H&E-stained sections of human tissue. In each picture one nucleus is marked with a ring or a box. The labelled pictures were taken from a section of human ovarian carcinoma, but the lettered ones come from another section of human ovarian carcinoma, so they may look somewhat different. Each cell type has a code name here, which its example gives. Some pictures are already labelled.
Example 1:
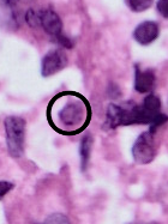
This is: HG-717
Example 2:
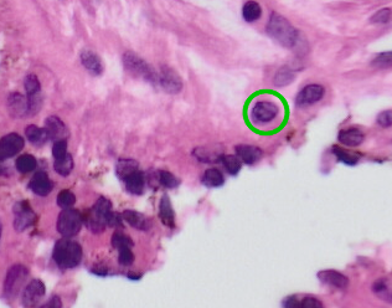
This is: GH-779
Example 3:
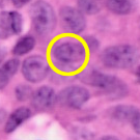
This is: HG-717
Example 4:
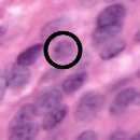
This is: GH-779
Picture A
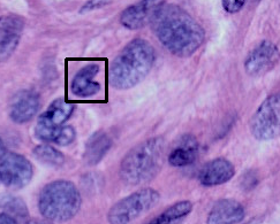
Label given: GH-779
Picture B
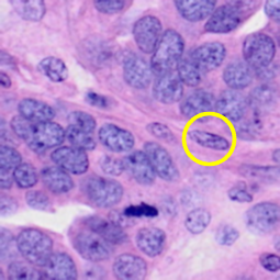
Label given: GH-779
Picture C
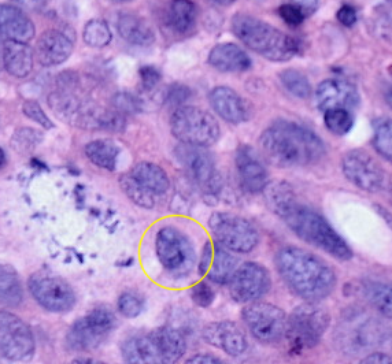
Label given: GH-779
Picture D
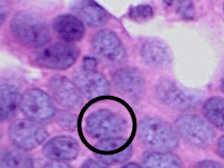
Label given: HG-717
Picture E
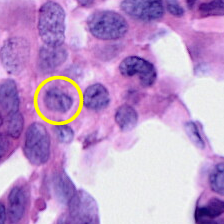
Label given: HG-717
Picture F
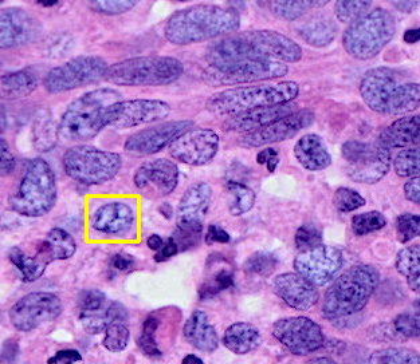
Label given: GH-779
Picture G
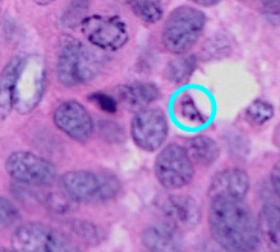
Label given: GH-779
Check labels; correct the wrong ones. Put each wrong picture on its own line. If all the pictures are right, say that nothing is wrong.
E: not HG-717 but GH-779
